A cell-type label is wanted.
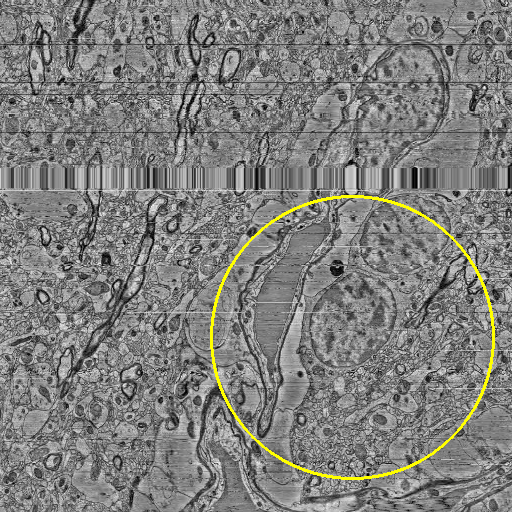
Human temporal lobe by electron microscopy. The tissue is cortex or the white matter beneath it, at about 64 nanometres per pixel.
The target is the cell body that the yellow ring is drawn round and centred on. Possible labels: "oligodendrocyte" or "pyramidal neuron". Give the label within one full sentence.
Of the labels offered, the cell in the middle of the yellow ring is an oligodendrocyte.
